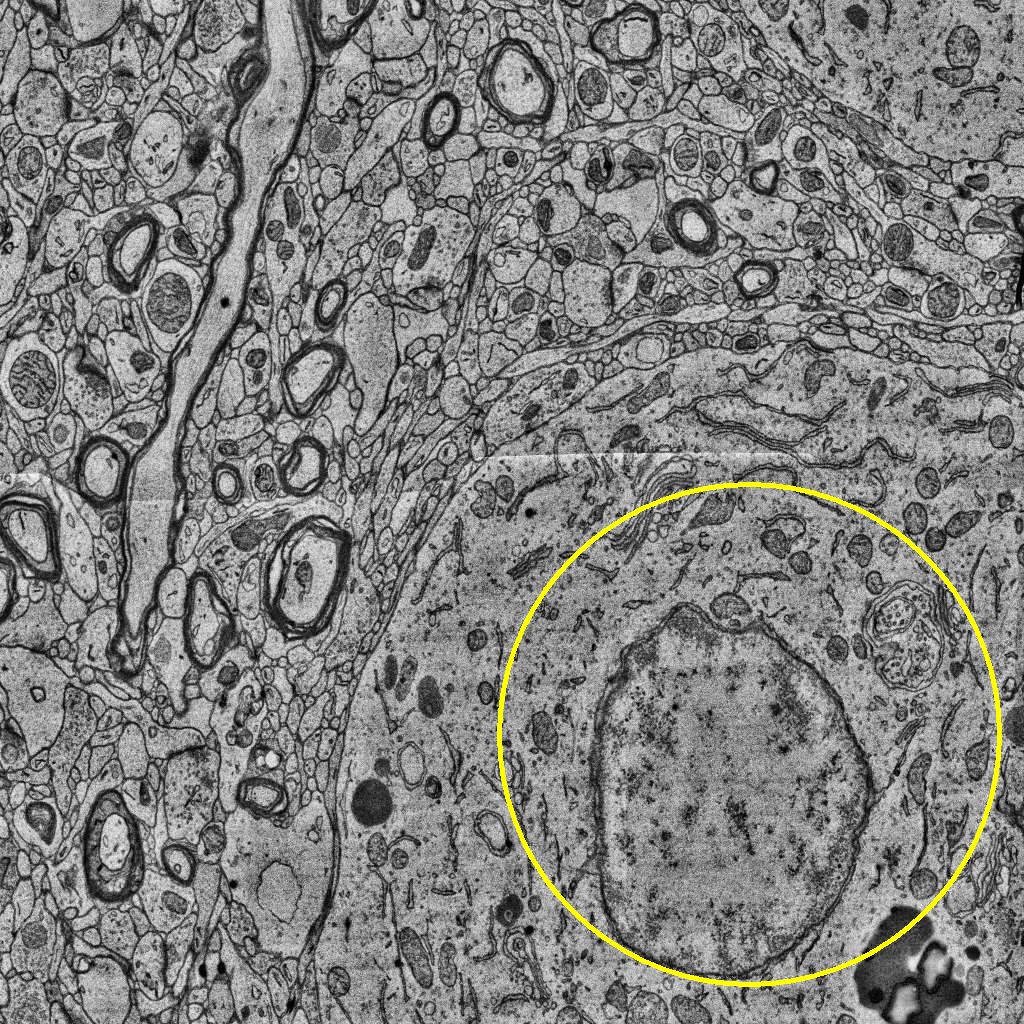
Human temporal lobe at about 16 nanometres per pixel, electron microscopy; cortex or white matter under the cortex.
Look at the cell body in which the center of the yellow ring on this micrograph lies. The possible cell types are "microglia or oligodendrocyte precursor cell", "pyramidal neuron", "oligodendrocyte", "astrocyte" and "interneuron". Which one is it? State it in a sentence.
The cell at the middle of the ring is a pyramidal neuron.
